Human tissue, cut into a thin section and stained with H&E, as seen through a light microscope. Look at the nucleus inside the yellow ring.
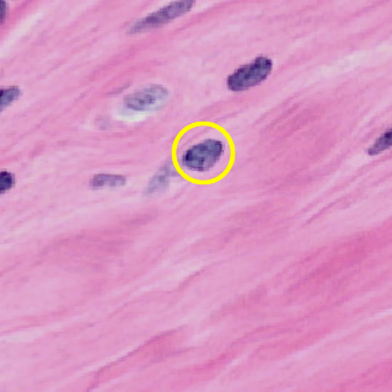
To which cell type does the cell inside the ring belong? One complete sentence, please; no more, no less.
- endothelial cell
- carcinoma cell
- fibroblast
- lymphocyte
Placed in its cell category, the cell inside the ring is a lymphocyte.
